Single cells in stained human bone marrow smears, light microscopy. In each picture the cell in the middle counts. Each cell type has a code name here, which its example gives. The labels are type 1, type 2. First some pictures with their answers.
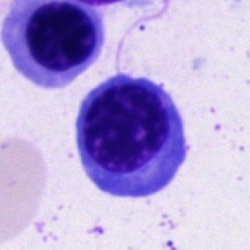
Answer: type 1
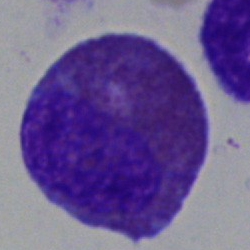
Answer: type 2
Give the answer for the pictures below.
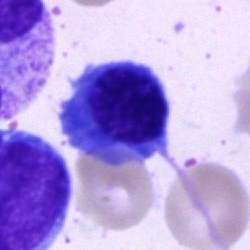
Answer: type 1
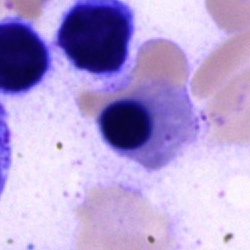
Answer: type 1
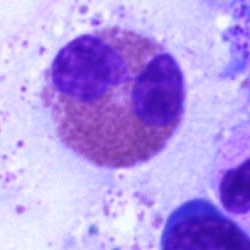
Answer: type 2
